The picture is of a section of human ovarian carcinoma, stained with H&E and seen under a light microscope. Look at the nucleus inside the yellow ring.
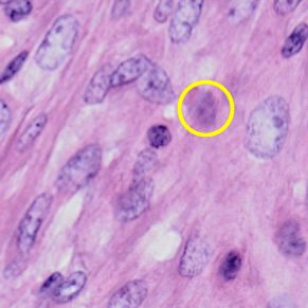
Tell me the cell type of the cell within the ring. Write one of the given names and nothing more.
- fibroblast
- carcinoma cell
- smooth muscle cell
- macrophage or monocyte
fibroblast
